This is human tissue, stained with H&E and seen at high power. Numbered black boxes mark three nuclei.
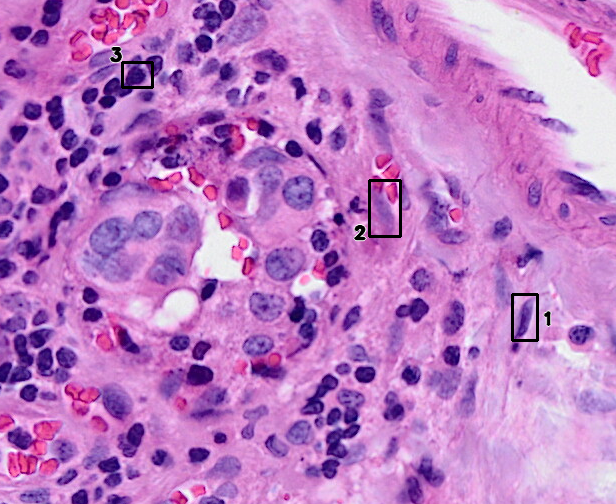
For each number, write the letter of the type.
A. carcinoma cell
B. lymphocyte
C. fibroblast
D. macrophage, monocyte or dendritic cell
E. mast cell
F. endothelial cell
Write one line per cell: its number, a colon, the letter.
1: C
2: F
3: B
